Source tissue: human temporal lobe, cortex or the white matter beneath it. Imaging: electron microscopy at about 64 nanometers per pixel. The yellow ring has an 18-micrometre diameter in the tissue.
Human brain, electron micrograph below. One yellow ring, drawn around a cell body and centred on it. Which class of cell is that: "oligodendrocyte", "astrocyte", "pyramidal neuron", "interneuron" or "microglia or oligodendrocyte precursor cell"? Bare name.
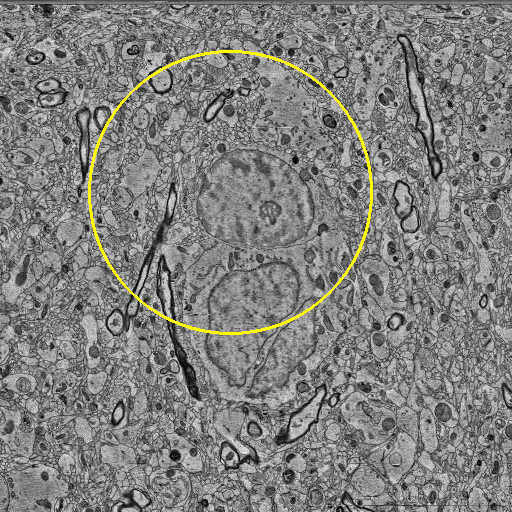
oligodendrocyte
